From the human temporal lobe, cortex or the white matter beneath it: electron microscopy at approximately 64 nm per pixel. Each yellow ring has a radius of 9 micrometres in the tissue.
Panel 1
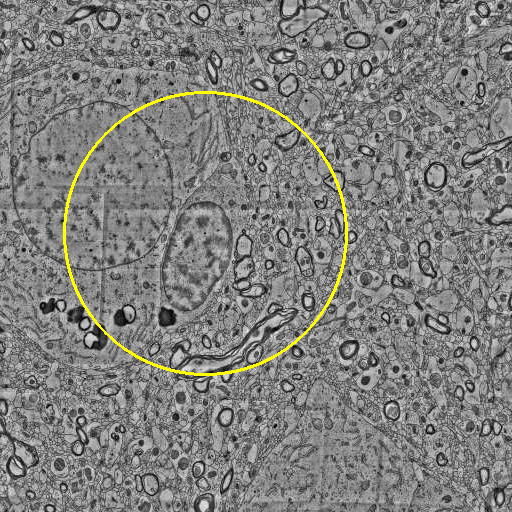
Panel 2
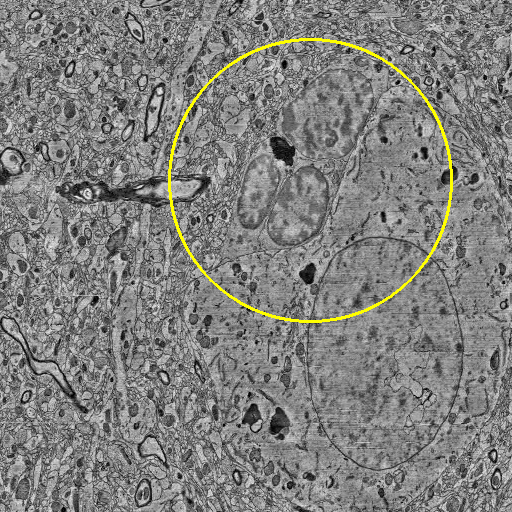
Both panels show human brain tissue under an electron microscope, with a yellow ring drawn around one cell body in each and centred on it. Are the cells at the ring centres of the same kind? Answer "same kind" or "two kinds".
same kind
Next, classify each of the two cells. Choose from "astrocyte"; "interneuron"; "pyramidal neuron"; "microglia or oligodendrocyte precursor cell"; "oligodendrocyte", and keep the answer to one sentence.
The cell in the first picture is an oligodendrocyte, and so is the one in the second.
